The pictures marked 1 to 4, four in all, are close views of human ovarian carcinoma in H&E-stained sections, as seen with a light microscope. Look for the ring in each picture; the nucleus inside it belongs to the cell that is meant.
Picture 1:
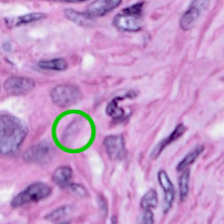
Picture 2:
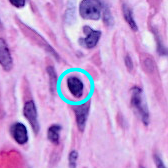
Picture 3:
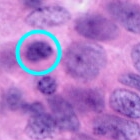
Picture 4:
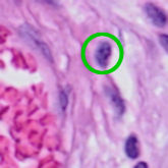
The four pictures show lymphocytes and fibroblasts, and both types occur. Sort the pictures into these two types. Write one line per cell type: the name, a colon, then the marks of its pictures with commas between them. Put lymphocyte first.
lymphocyte: 2, 3, 4
fibroblast: 1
